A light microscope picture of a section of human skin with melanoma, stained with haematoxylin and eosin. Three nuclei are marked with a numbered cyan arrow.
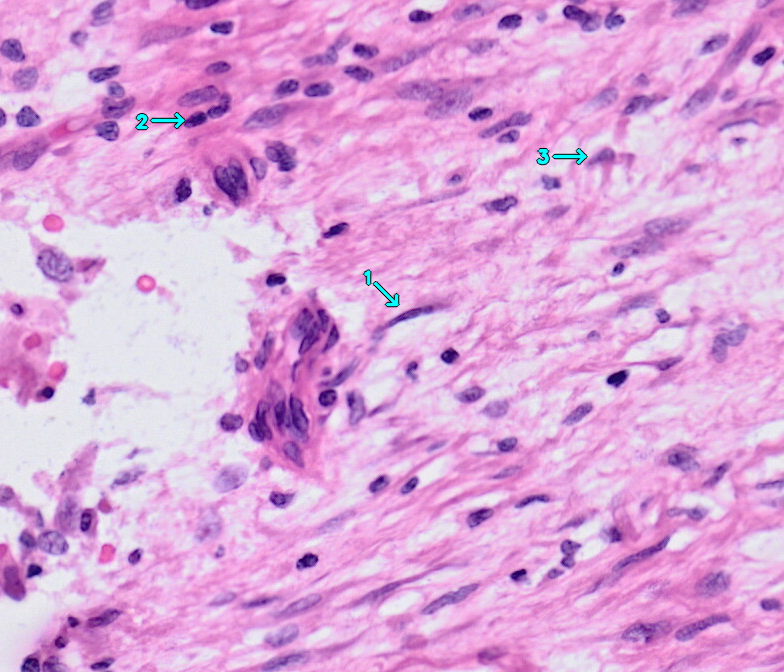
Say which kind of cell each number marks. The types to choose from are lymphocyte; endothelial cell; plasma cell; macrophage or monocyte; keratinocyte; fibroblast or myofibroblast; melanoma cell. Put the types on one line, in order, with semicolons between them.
fibroblast or myofibroblast; lymphocyte; fibroblast or myofibroblast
